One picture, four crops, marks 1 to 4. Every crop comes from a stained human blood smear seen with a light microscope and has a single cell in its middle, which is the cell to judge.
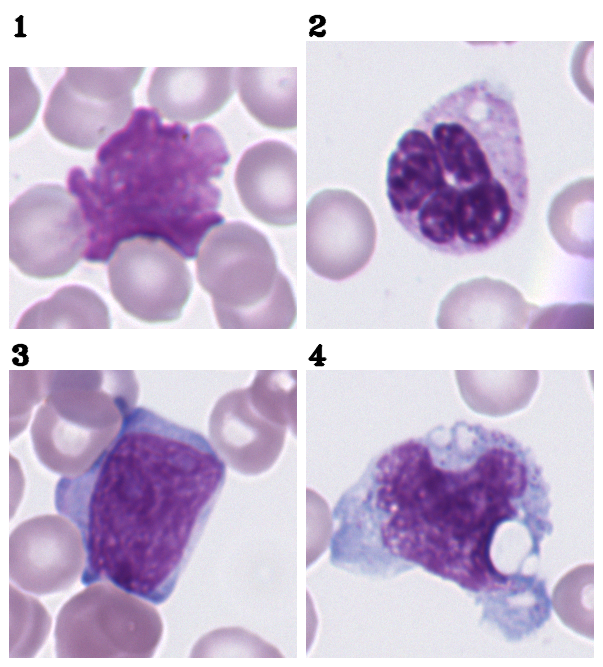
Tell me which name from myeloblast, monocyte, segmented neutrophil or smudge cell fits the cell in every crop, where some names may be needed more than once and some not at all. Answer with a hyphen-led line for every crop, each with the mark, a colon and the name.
- 1: smudge cell
- 2: segmented neutrophil
- 3: myeloblast
- 4: monocyte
